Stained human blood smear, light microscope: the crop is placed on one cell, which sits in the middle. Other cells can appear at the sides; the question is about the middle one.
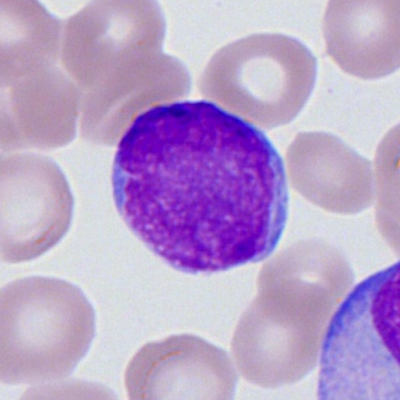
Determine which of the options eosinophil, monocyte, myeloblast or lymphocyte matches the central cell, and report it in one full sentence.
Here the cell in the middle is a myeloblast.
